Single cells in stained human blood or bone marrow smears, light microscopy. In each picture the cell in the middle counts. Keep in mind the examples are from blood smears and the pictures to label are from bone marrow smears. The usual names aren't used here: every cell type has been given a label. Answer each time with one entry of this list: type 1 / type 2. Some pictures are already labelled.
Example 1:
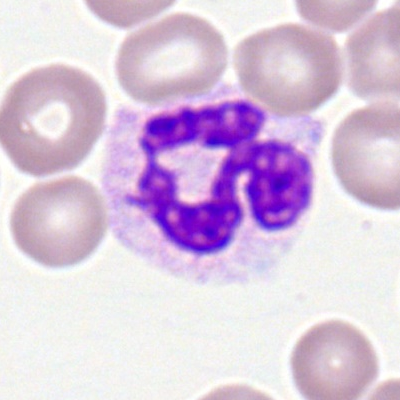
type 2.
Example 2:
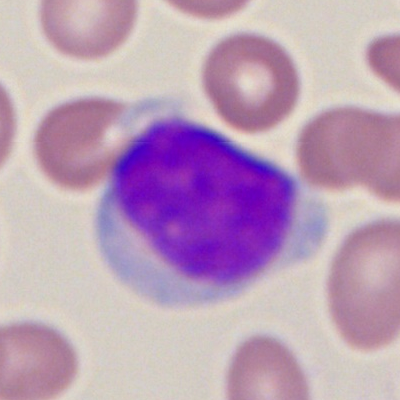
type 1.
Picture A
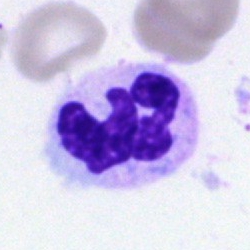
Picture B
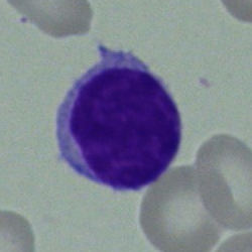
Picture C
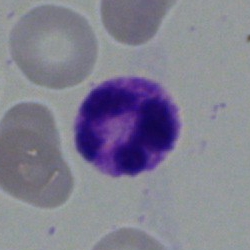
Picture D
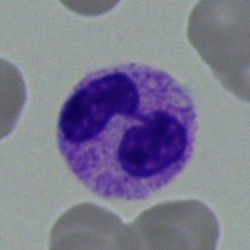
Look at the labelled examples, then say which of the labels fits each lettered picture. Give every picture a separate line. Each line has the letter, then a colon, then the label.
A: type 2.
B: type 1.
C: type 2.
D: type 2.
